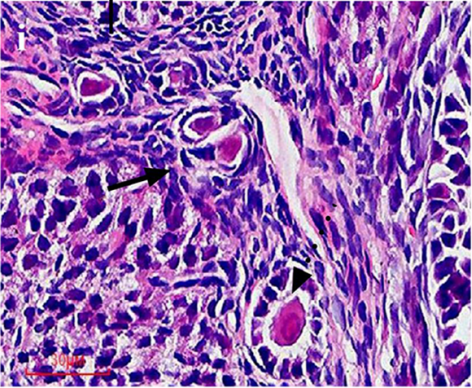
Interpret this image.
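Dense ovarian stroma of spindle-shaped cells with dark purple elongated nuclei surrounds several small rounded follicles. Each follicle holds an oocyte with pink cytoplasm set off from the stroma by a clear rim. One small oocyte is wrapped by a single thin layer of flattened cells, the picture of a primordial follicle. A somewhat larger oocyte with deeper pink cytoplasm sits within its own ring of surrounding cells, consistent with a primary follicle. The stromal cells run in streams between the follicles, with a thin vessel-like cleft crossing the field.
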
